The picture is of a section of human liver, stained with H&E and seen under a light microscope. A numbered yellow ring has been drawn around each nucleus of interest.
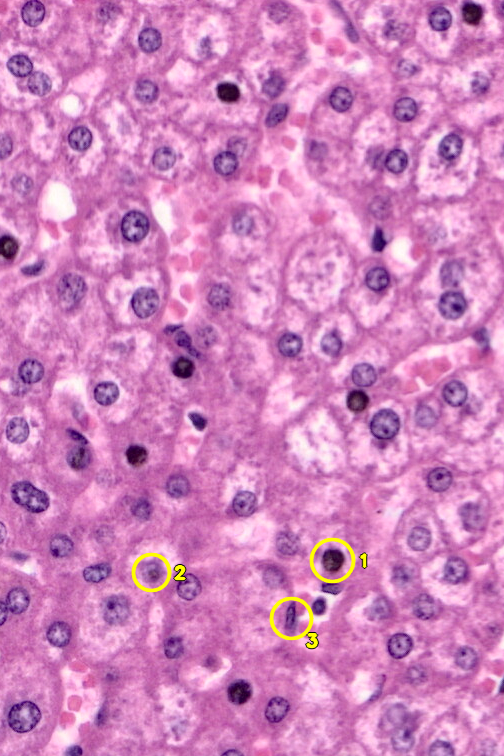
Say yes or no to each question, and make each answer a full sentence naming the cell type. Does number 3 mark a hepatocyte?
No, the cell given the number 3 is an endothelial cell, so not a hepatocyte.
